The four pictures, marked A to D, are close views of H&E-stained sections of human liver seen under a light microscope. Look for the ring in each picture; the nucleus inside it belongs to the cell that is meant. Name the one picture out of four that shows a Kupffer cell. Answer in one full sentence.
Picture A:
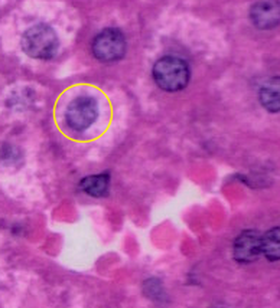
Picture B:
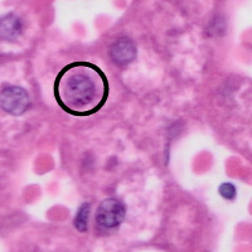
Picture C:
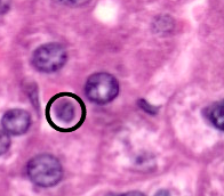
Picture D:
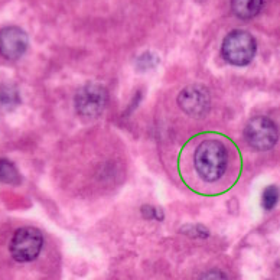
The picture with the Kupffer cell is C.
